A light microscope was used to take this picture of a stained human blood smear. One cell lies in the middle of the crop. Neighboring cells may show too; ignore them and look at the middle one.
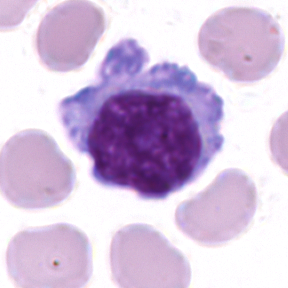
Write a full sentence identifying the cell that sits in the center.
The cell at the middle of the crop is recognized as a plasma cell.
